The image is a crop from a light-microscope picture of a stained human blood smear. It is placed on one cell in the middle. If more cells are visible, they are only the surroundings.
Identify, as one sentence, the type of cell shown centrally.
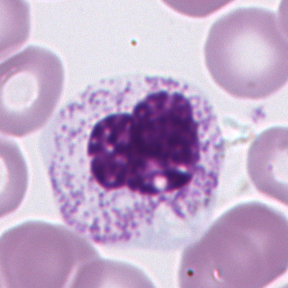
Of the cells in this crop, the central one is a segmented neutrophil.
